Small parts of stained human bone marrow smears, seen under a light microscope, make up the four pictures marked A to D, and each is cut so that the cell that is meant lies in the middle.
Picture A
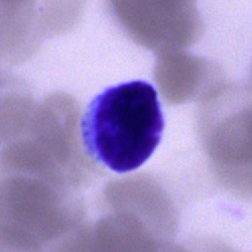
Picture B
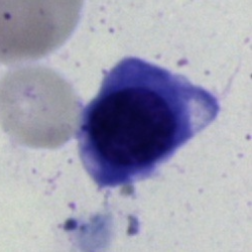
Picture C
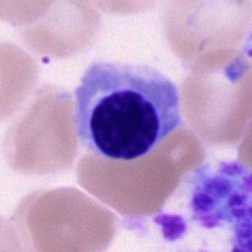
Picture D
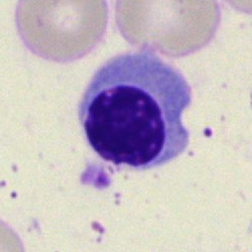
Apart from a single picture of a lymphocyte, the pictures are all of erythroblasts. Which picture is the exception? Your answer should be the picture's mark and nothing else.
A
